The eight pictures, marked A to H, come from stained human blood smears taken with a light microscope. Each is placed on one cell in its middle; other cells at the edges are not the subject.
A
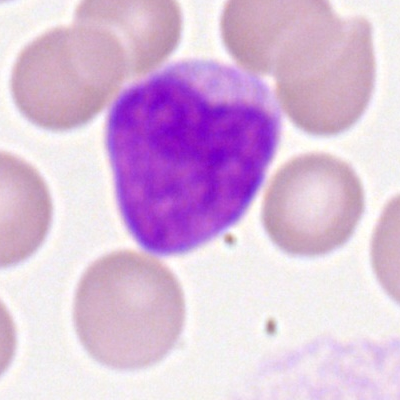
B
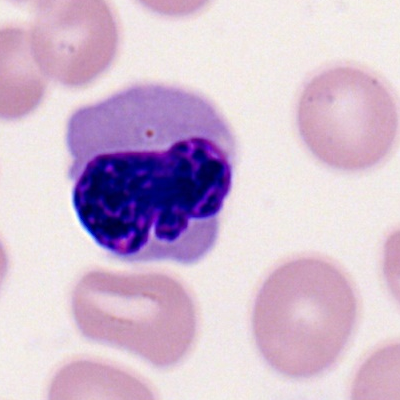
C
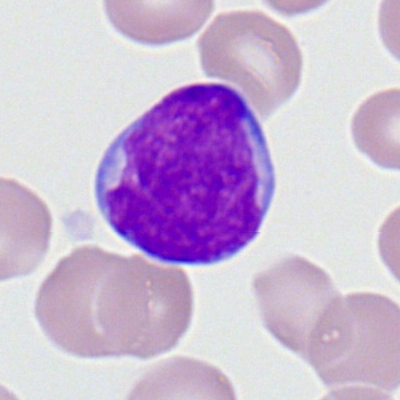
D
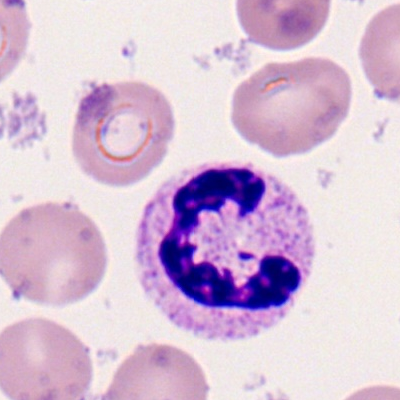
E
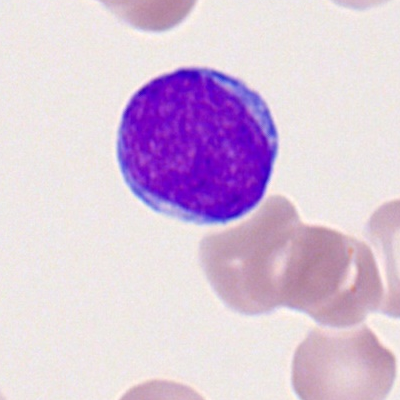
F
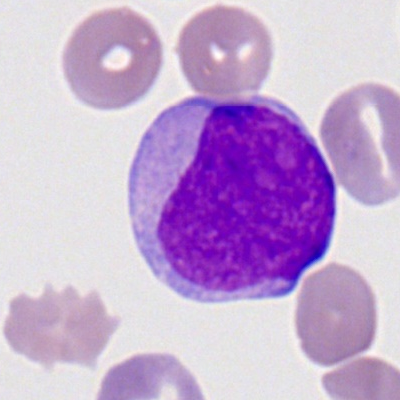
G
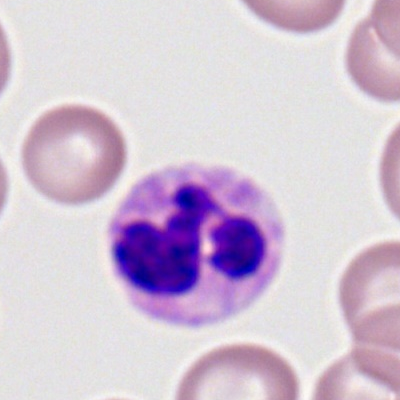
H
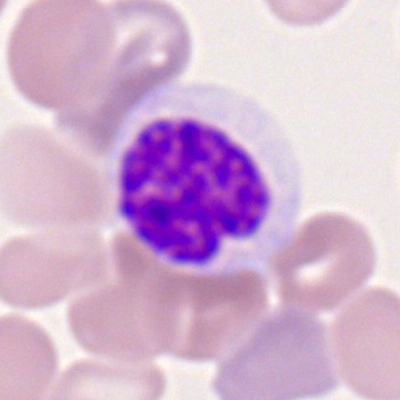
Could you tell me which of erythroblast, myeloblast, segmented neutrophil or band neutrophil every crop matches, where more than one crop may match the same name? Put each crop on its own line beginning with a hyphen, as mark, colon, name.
- A: myeloblast
- B: erythroblast
- C: myeloblast
- D: segmented neutrophil
- E: myeloblast
- F: myeloblast
- G: segmented neutrophil
- H: band neutrophil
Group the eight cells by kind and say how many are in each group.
myeloblast: 4
segmented neutrophil: 2
erythroblast: 1
band neutrophil: 1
